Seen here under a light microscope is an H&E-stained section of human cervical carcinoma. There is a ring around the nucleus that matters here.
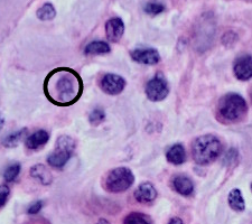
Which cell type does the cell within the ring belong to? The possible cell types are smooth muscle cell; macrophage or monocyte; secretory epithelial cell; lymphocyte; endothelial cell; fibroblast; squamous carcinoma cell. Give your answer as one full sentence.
The category to which the cell within the ring belongs is that of a macrophage or monocyte.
